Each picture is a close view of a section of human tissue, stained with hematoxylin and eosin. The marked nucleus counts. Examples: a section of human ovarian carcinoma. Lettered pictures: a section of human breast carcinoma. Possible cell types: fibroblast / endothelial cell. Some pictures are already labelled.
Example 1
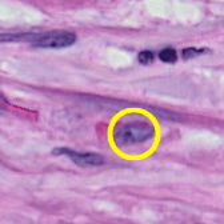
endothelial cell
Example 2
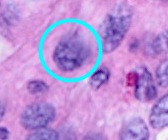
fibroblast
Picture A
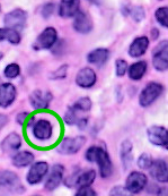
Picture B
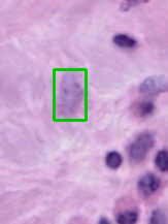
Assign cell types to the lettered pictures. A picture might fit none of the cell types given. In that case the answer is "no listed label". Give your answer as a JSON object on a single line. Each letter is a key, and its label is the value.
{"A": "no listed label", "B": "fibroblast"}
